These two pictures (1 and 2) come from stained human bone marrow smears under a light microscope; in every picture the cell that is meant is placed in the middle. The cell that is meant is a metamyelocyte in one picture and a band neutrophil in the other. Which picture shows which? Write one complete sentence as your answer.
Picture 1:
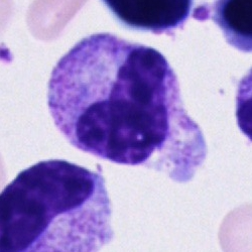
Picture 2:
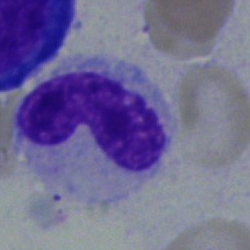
Picture 2 shows a band neutrophil, while picture 1 shows a metamyelocyte.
